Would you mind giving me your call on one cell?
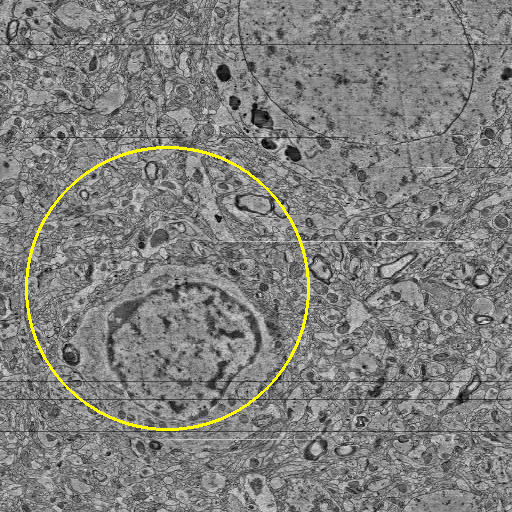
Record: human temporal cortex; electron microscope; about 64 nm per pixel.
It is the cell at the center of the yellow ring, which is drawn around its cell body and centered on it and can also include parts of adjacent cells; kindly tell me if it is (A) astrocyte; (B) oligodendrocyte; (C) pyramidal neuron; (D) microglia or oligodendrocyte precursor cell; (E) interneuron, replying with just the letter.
D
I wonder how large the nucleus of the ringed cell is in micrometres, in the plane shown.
Roughly 9 micrometres across for the nucleus, in this plane.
